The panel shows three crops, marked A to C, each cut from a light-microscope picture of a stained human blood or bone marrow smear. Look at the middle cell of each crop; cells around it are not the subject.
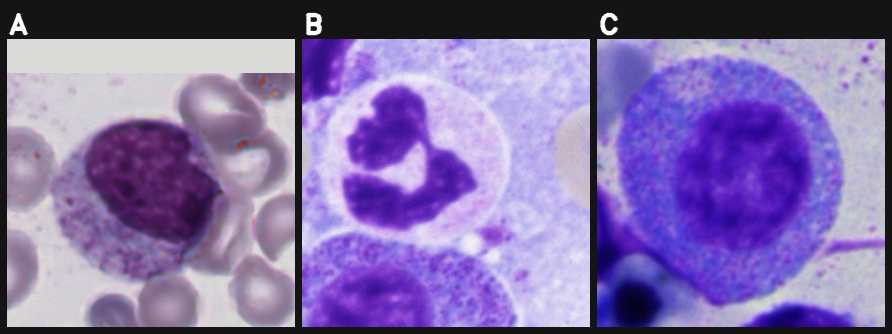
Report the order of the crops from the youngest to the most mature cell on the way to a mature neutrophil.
C, A, B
